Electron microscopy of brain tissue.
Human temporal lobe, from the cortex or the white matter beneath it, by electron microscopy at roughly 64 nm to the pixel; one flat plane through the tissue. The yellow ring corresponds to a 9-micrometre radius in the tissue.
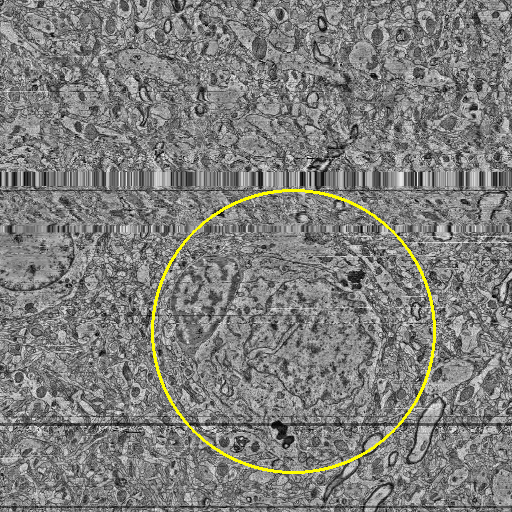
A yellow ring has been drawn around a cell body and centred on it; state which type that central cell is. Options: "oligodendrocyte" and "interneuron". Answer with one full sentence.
The cell at the middle of the yellow ring is an interneuron in this picture.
